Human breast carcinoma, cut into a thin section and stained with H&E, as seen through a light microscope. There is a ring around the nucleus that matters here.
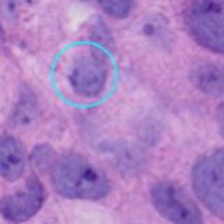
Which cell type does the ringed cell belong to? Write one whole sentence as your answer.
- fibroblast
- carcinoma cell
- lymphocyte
Cell type answer for this item: the ringed cell is a carcinoma cell.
